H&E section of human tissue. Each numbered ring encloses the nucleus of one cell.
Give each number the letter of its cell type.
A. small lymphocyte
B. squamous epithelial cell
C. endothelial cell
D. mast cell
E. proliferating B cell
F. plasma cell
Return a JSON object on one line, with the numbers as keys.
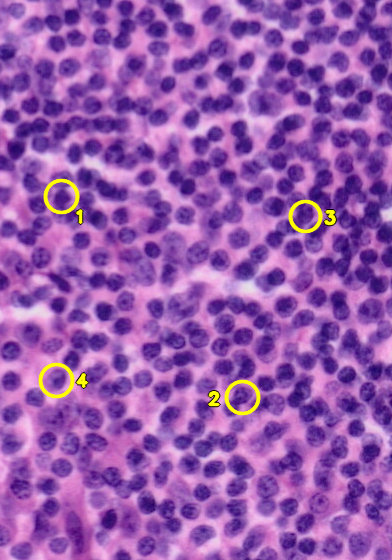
{"1": "A", "2": "A", "3": "A", "4": "F"}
